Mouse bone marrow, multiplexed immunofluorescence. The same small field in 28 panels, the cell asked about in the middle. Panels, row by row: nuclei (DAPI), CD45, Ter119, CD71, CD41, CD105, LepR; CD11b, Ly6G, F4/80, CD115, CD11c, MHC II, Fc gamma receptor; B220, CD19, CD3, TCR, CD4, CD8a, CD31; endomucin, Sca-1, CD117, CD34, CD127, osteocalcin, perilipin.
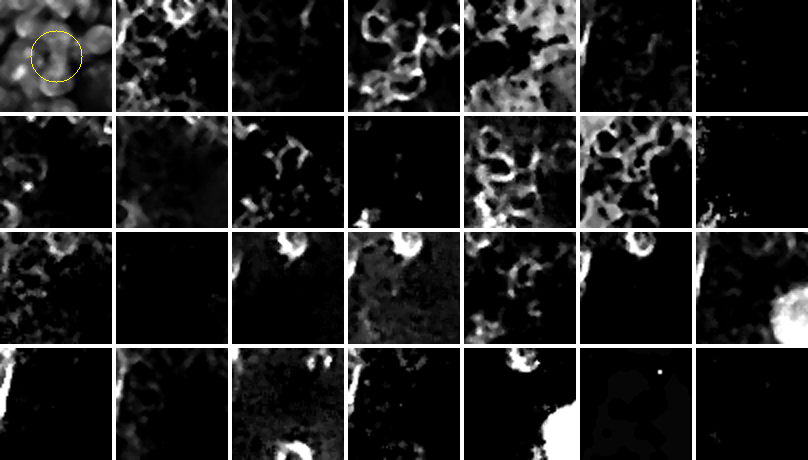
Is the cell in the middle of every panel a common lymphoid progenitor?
No, it is a conventional dendritic cell.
